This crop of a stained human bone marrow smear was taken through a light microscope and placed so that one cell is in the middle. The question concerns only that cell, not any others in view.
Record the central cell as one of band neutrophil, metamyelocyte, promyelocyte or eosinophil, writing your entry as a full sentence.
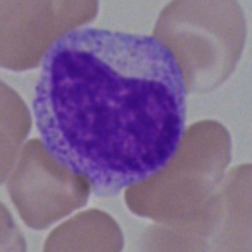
The cell at the central position in this crop is a metamyelocyte.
